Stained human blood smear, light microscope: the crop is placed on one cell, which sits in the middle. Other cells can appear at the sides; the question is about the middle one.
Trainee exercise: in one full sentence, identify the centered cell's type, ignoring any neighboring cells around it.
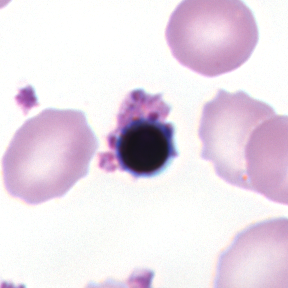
The cell in the middle of the field of view is a normoblast.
